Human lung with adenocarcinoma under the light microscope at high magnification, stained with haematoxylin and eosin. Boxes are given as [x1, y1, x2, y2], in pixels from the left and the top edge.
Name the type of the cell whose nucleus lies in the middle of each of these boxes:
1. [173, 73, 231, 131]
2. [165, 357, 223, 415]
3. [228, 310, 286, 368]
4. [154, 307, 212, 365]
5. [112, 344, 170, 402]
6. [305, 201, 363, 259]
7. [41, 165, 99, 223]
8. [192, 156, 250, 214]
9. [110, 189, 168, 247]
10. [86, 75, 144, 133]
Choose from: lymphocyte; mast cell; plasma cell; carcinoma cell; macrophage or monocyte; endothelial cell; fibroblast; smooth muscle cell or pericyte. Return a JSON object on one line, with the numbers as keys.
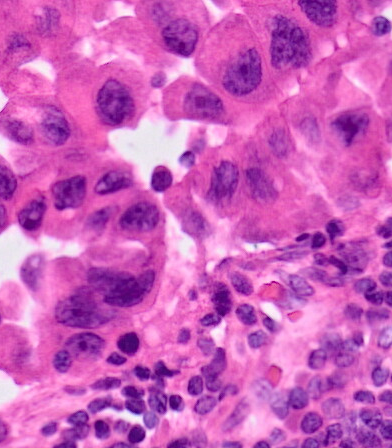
{"1": "carcinoma cell", "2": "lymphocyte", "3": "lymphocyte", "4": "lymphocyte", "5": "lymphocyte", "6": "lymphocyte", "7": "carcinoma cell", "8": "carcinoma cell", "9": "carcinoma cell", "10": "carcinoma cell"}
